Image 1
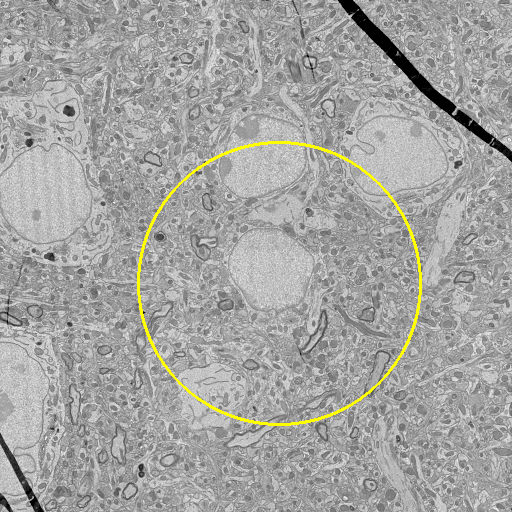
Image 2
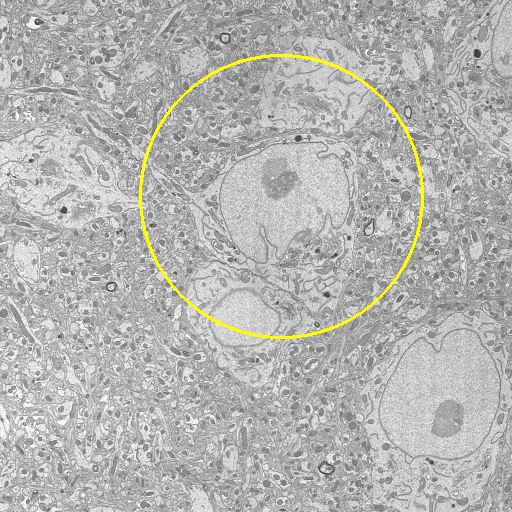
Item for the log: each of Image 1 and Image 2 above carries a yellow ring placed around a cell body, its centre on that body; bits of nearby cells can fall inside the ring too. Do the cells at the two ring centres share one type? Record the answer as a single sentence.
No, the two cells at the ring centres in Image 1 and Image 2 are of two types.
